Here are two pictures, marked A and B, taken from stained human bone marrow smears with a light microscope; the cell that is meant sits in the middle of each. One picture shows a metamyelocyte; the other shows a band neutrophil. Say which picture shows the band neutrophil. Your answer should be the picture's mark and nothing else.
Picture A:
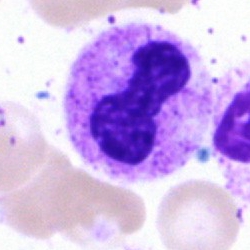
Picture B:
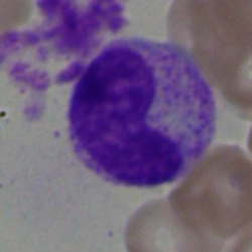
A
